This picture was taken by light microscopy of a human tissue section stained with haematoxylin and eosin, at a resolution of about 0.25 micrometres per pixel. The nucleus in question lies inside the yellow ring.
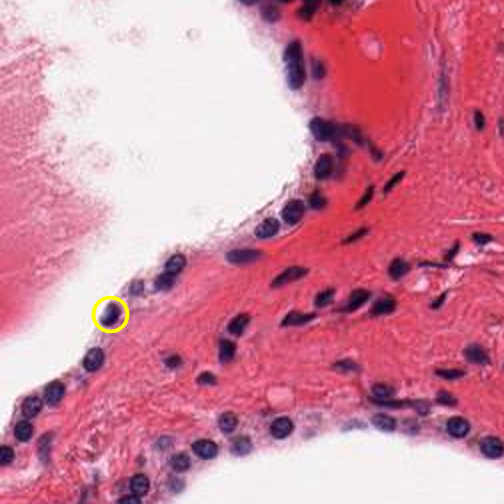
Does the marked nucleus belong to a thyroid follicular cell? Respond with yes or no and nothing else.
yes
